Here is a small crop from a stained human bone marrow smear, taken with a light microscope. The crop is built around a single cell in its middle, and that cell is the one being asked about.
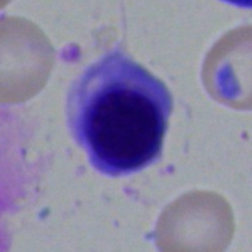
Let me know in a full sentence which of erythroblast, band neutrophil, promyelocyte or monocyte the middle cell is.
For this crop, the central cell is an erythroblast.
